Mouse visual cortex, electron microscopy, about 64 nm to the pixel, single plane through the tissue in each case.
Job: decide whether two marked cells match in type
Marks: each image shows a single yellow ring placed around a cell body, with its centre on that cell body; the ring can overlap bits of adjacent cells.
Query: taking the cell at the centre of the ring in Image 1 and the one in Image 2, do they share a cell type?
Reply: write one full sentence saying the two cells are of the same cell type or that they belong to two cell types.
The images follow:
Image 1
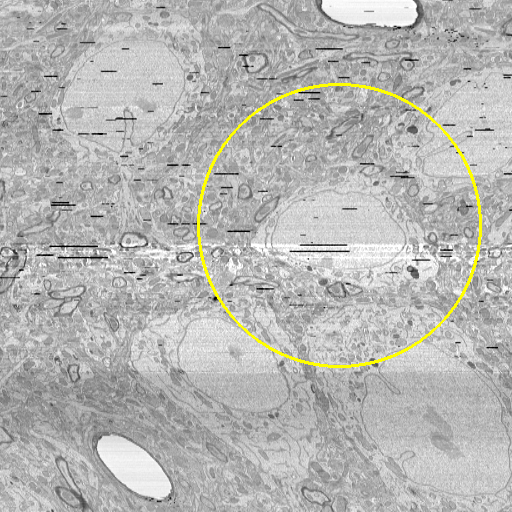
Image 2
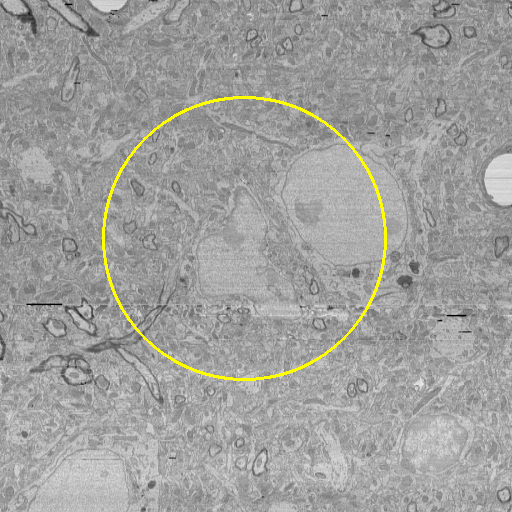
The cells at the ring centres in Image 1 and Image 2 belong to two cell types.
